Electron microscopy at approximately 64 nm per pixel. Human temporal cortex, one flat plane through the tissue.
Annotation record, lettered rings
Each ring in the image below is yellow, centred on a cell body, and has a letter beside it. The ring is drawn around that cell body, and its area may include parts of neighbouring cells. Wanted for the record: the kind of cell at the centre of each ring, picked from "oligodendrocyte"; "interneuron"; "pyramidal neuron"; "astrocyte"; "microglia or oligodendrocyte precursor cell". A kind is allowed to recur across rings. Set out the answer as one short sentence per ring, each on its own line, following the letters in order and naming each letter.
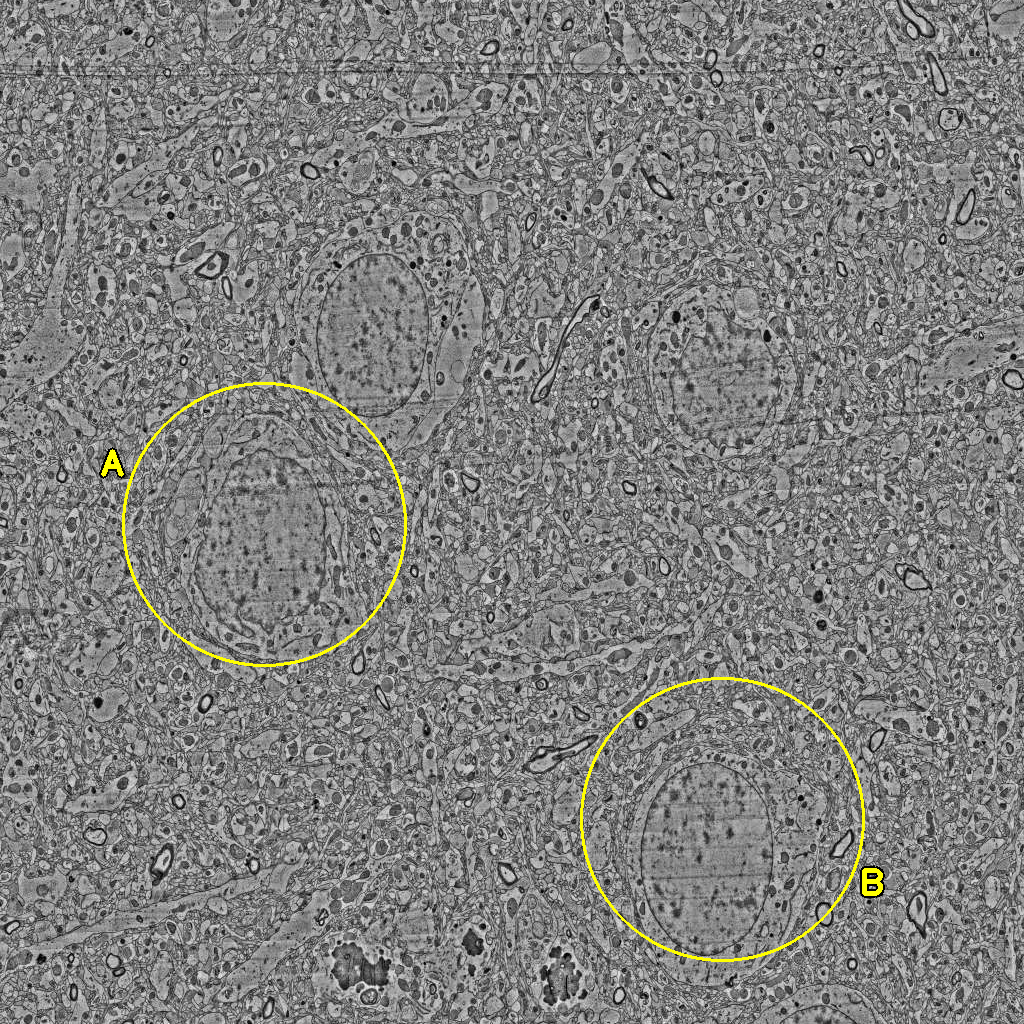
Ring A was drawn on an interneuron.
Ring B was drawn on a pyramidal neuron.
